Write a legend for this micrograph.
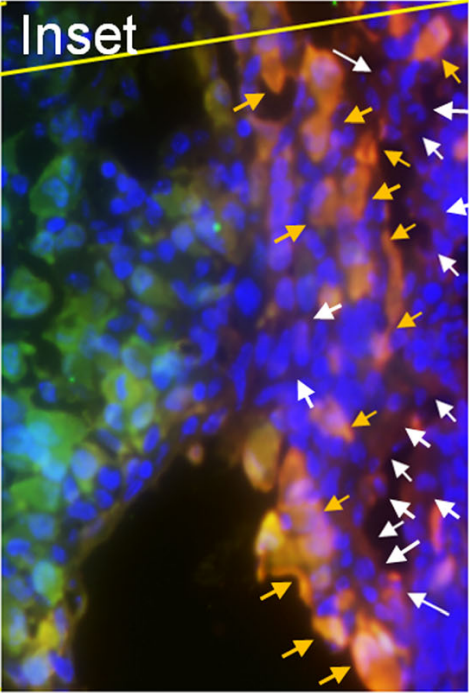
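On the left lies a mass of tightly packed cells with green cytoplasm, while toward the right, along a dark unstained space, a band of large cells with bright orange to yellow cytoplasm forms a lining. Further right lie many smaller cells with blue nuclei and faint red cytoplasm.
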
